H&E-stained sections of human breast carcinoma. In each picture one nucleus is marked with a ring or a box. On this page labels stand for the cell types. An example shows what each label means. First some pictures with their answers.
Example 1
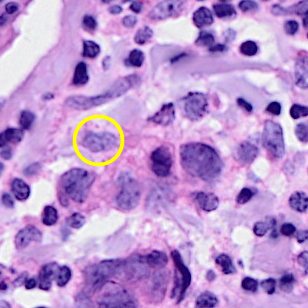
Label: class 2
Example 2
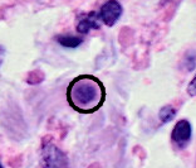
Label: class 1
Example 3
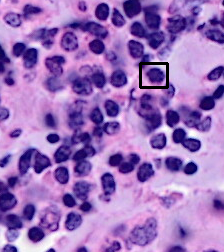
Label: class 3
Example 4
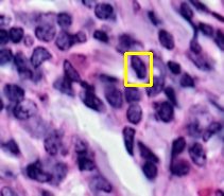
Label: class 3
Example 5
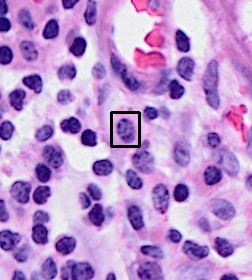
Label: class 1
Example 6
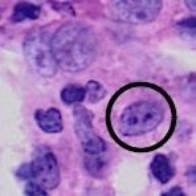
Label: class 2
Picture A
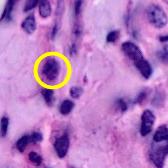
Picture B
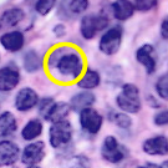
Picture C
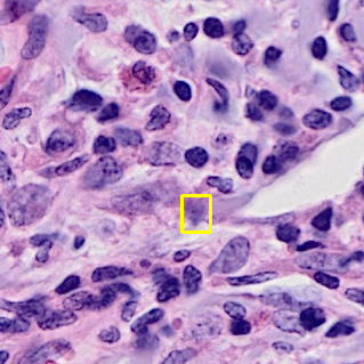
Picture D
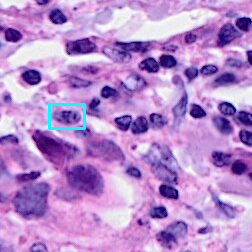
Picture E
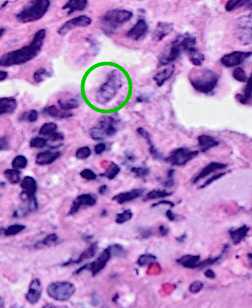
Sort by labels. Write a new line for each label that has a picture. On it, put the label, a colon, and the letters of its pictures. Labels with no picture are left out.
class 2: C, E
class 1: A, D
class 3: B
